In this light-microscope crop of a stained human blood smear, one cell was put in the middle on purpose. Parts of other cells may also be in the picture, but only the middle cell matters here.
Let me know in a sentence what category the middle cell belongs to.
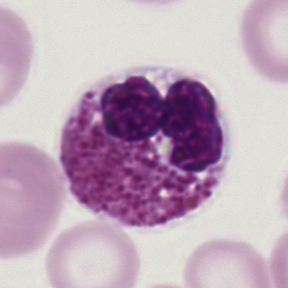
The cell the crop is centered on is an eosinophil.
